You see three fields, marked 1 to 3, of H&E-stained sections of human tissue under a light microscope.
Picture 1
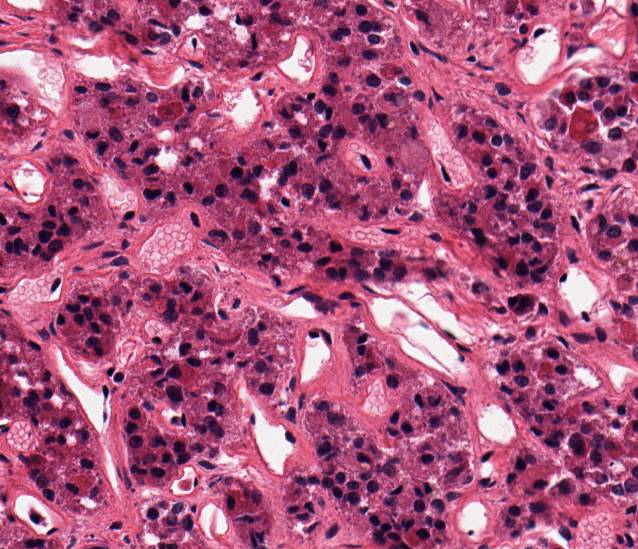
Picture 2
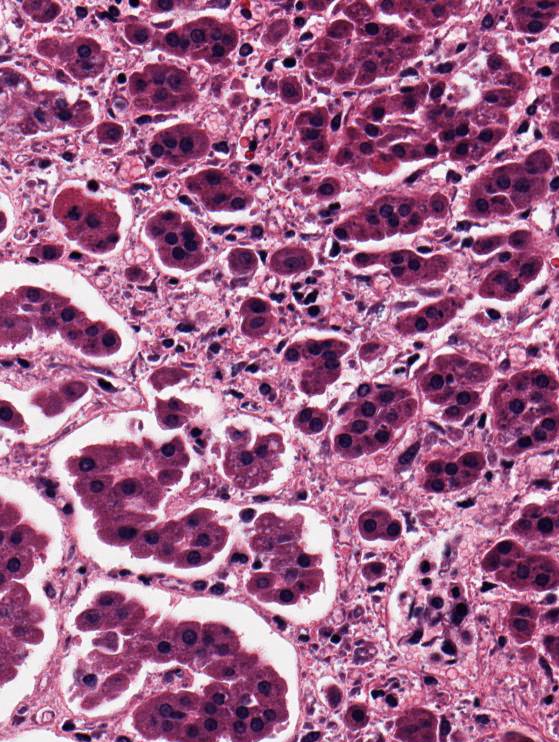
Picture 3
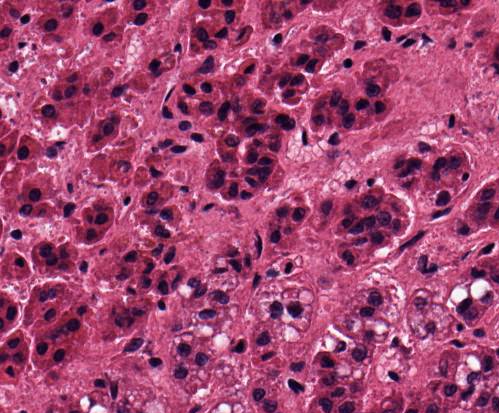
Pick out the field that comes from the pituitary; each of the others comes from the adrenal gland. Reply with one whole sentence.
Picture 1 comes from the pituitary.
